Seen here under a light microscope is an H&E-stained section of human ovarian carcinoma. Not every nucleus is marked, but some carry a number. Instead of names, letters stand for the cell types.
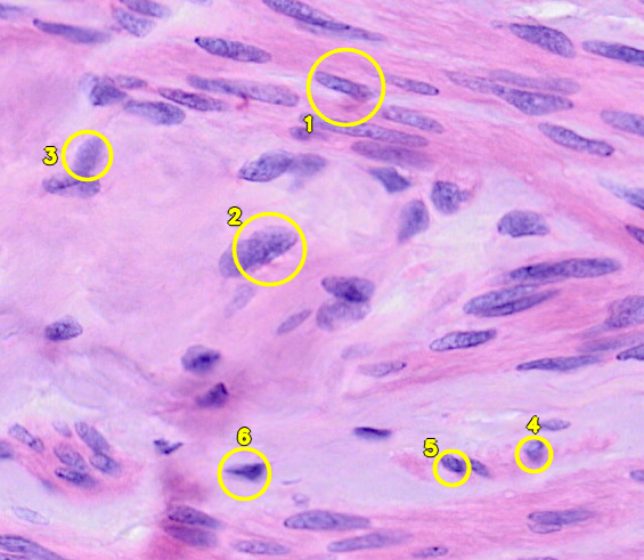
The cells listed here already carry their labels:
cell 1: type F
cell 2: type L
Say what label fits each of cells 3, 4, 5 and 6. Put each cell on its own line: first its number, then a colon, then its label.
3: type L
4: type F
5: type F
6: type L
